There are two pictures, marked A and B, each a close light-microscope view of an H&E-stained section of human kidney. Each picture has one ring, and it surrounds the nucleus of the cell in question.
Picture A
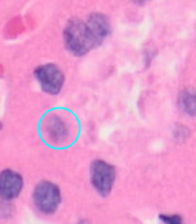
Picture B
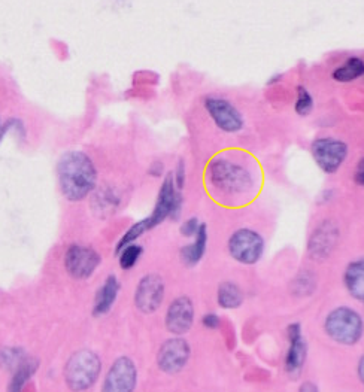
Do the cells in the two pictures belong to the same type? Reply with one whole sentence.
Yes, they are the same type: both are “loop of Henle or distal tubule cells”.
